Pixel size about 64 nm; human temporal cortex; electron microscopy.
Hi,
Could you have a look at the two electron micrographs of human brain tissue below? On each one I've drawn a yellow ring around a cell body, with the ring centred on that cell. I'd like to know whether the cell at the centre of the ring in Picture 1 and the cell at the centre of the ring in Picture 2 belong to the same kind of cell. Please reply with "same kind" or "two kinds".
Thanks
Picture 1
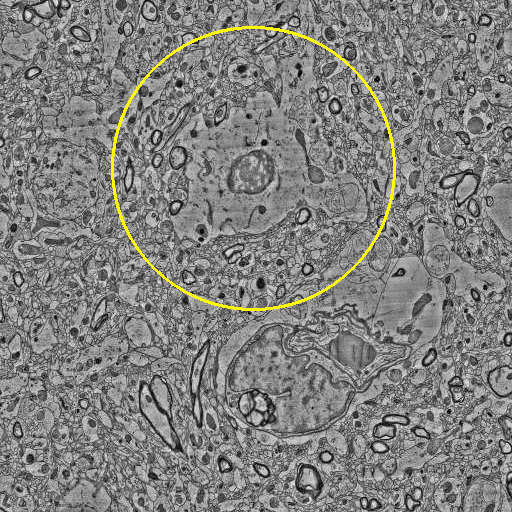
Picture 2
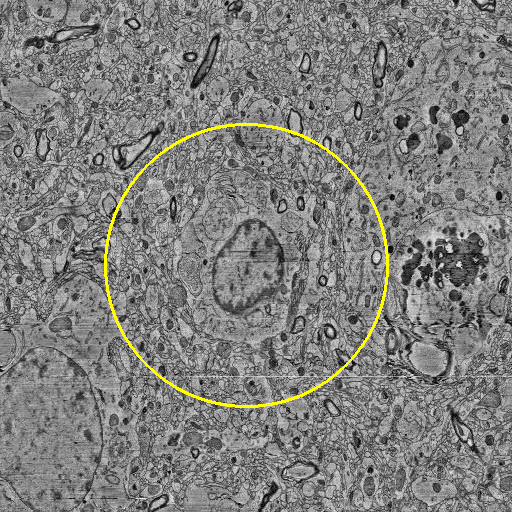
same kind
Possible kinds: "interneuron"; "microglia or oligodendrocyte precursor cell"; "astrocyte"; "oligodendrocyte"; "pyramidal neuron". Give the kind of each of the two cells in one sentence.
The ring centre holds an astrocyte in each of the two pictures.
